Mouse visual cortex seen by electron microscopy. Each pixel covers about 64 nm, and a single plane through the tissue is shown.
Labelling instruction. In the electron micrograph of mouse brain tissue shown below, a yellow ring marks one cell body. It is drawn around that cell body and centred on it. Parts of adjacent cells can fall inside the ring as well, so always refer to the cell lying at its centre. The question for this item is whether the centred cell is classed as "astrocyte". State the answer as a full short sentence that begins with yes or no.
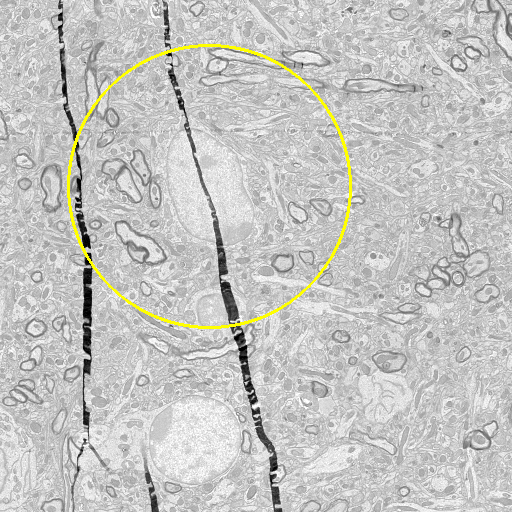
Yes, the centred cell is of that class.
